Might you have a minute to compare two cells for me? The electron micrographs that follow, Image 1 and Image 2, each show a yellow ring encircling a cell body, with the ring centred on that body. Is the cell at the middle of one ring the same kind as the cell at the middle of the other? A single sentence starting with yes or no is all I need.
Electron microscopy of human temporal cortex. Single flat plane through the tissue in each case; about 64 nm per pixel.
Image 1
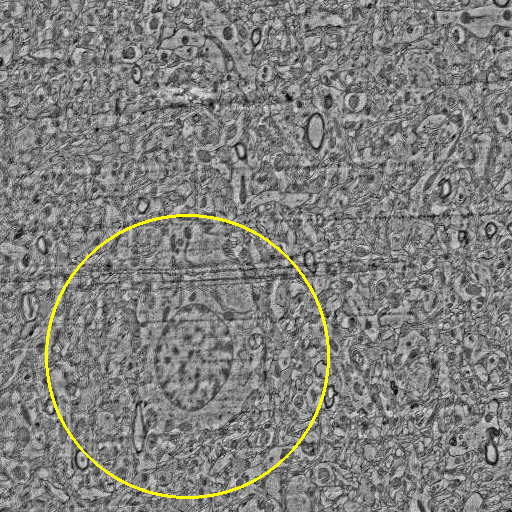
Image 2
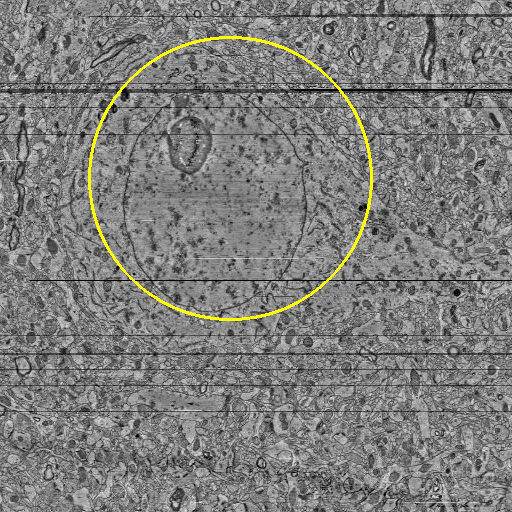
No, the cells in the middle of the two rings are of two separate kinds.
